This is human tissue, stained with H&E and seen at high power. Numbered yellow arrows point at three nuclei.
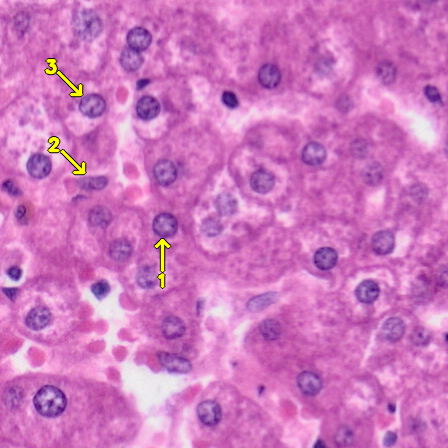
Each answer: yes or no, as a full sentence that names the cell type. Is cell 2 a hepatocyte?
No, the cell referred to as 2 is a Kupffer cell, not a hepatocyte.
